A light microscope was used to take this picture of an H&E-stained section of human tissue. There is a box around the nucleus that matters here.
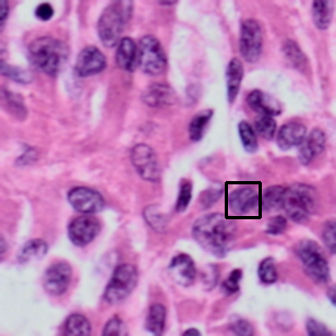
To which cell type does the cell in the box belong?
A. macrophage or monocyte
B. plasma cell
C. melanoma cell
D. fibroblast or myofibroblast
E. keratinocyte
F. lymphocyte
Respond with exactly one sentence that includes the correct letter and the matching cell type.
Option C holds, since the cell in the box is a melanoma cell.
